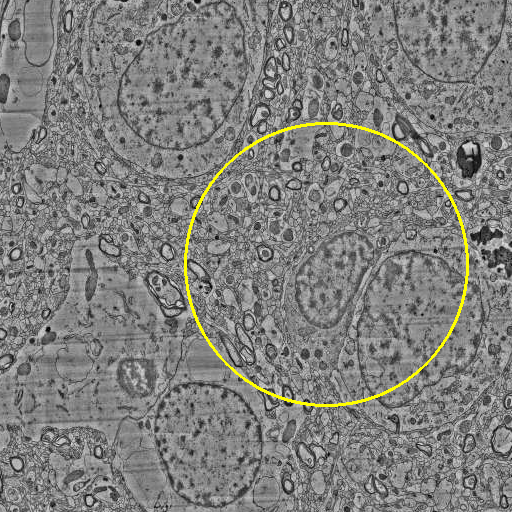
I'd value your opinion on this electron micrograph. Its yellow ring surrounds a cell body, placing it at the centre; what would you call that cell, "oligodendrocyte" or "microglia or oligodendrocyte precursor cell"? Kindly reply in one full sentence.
It is an oligodendrocyte that sits centred within the yellow ring in this micrograph.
